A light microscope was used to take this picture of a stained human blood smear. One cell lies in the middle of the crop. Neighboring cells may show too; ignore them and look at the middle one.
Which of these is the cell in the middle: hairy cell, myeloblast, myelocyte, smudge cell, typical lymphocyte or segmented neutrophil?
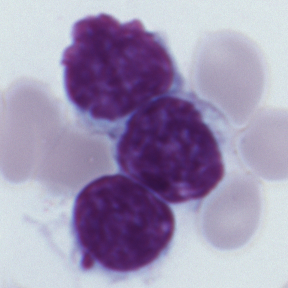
myeloblast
